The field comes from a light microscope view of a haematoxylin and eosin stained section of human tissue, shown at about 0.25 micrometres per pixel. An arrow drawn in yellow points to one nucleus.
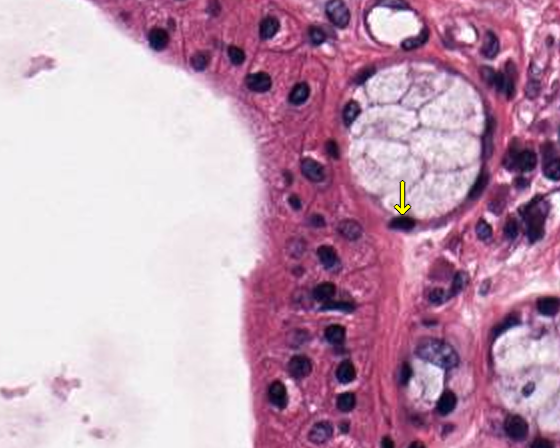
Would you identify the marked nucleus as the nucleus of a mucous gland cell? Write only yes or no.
yes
